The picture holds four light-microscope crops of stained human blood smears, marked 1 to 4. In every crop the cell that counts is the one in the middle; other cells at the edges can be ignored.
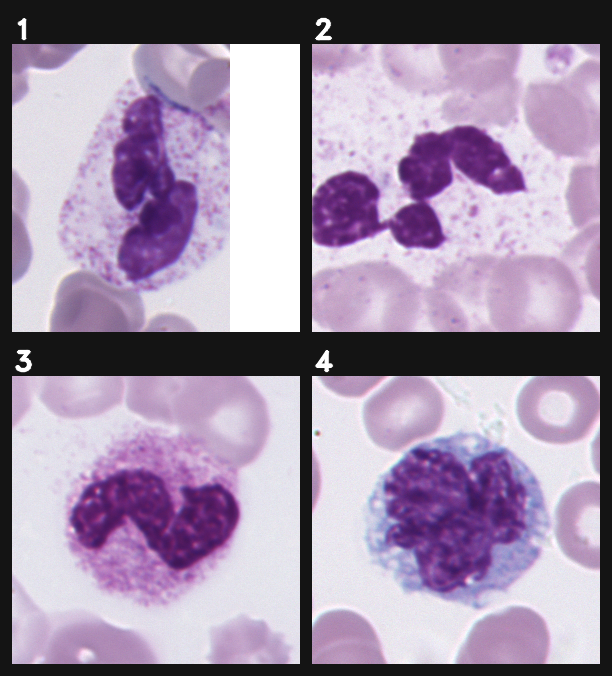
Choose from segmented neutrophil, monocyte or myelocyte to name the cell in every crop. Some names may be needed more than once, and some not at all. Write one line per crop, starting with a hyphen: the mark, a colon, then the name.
- 1: segmented neutrophil
- 2: segmented neutrophil
- 3: segmented neutrophil
- 4: monocyte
